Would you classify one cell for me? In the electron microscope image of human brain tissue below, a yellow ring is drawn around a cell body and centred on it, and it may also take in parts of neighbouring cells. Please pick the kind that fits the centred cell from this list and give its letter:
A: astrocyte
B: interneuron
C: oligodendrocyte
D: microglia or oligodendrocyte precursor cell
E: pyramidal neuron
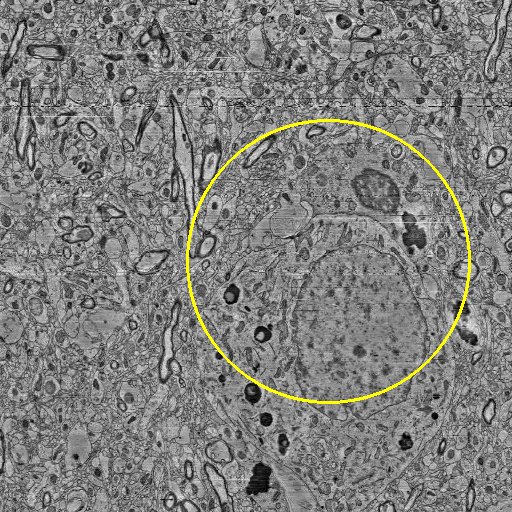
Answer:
B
